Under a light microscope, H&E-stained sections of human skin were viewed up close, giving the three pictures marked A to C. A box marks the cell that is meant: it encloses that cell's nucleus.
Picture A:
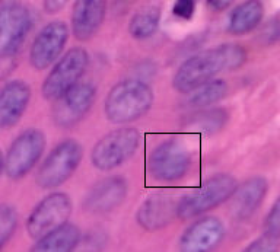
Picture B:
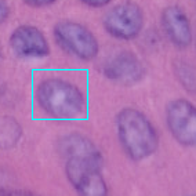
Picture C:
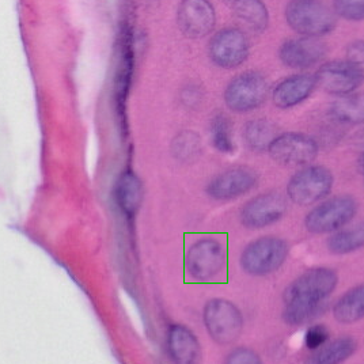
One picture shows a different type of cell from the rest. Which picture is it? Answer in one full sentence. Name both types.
Unlike the rest, which show suprabasal keratinocytes, picture A shows a basal keratinocyte.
